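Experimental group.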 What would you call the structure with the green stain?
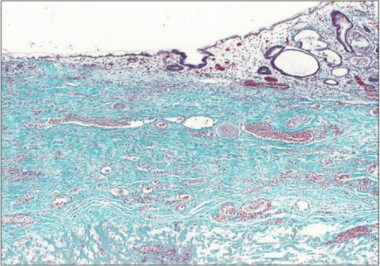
Collagenous fiber.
